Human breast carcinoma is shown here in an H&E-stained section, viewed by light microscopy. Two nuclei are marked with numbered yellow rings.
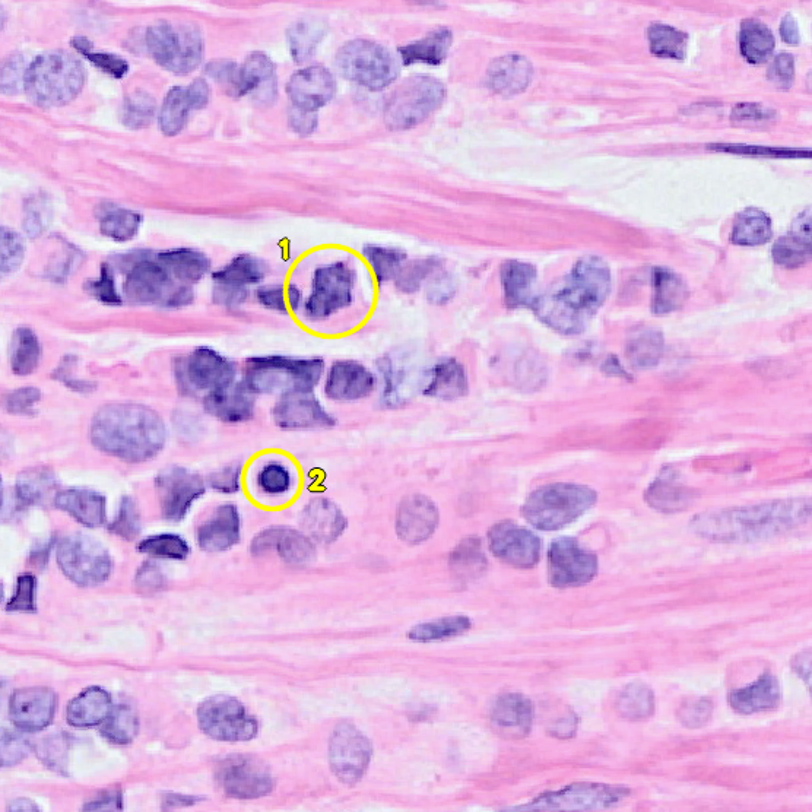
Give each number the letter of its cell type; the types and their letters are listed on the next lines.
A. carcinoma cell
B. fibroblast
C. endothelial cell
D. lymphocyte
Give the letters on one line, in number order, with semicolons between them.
A; D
